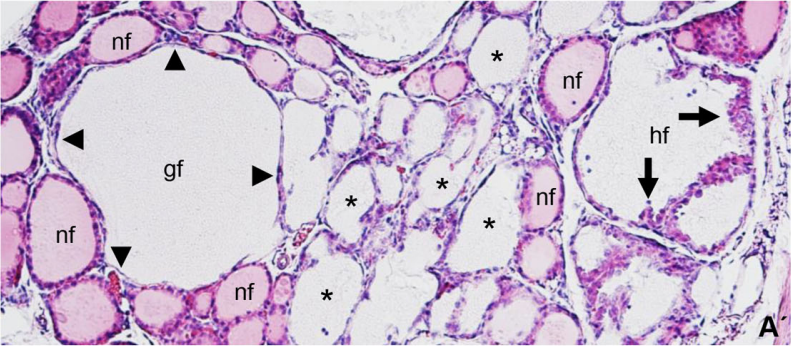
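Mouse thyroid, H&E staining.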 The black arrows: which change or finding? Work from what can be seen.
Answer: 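Hyperplastic epithelium. The arrows point to the lining of a follicle at the right. The lining there is thickened, with crowded cells piled up and bulging into the lumen.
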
